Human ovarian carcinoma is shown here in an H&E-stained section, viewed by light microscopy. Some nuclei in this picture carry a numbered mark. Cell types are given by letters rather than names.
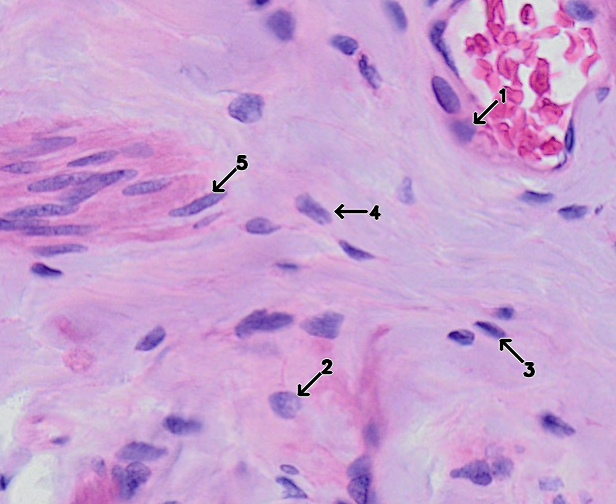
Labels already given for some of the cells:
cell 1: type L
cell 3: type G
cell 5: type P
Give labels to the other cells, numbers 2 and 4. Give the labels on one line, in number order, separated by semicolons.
type G; type G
